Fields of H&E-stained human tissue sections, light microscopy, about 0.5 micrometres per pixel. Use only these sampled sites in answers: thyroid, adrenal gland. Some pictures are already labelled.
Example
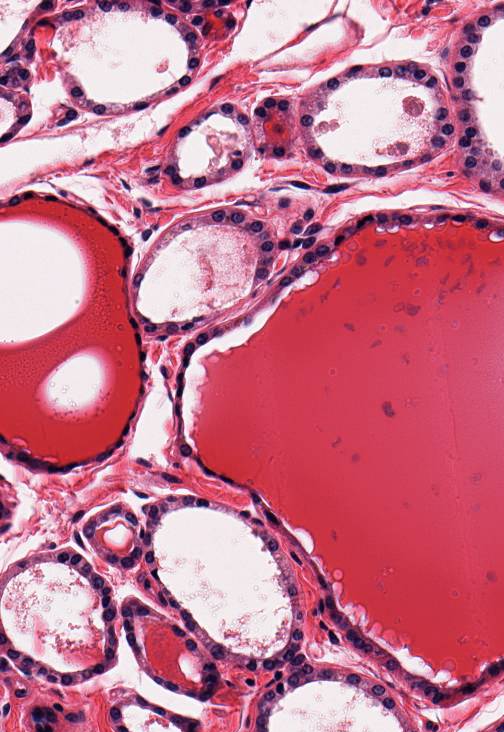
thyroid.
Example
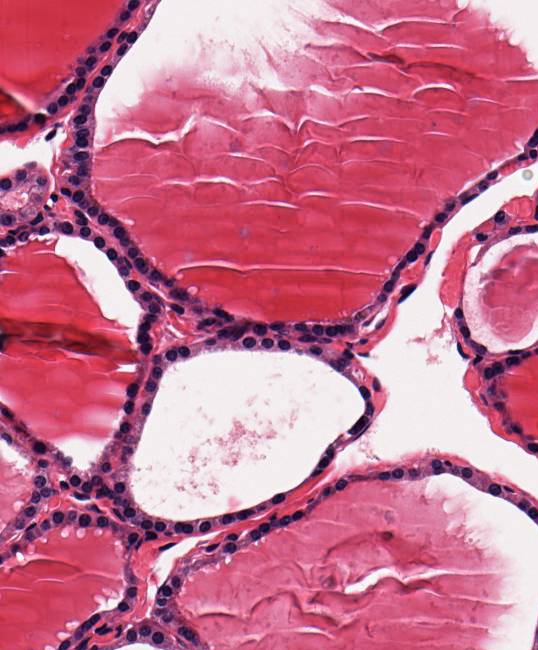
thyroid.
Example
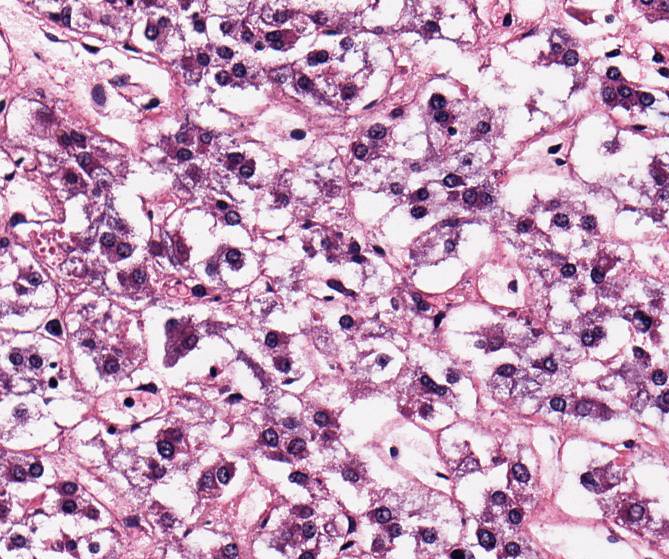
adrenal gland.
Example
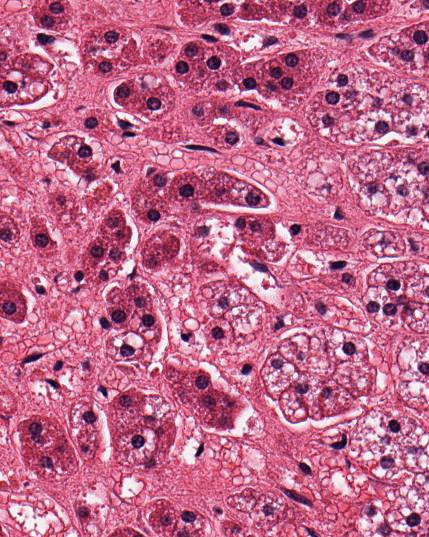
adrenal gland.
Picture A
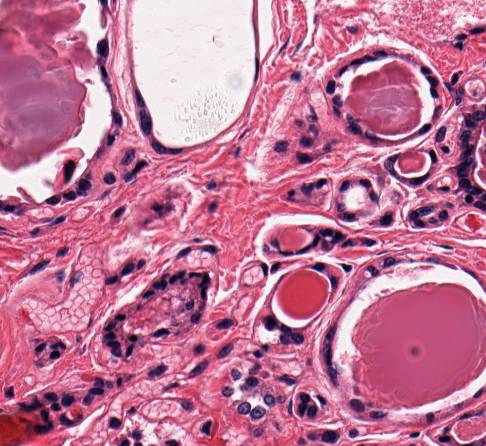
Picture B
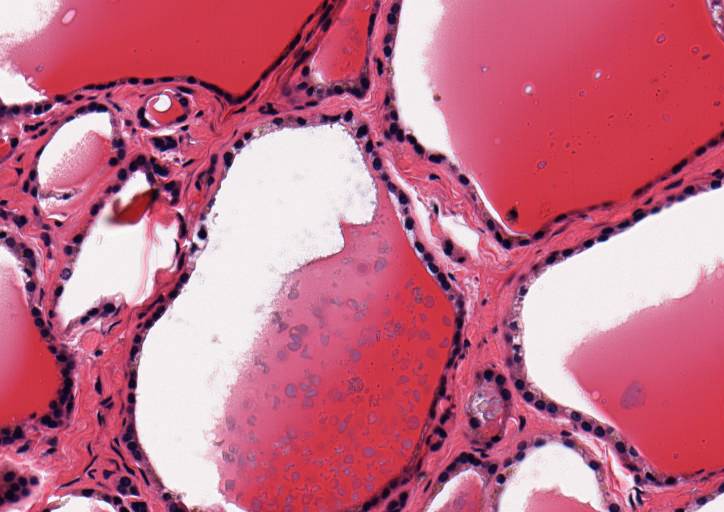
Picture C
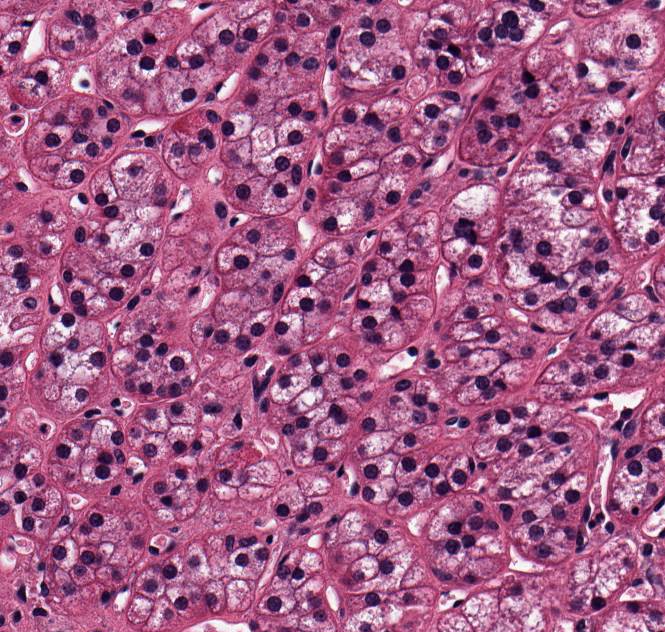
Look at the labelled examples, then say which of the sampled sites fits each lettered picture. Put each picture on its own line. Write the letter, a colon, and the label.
A: thyroid.
B: thyroid.
C: adrenal gland.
